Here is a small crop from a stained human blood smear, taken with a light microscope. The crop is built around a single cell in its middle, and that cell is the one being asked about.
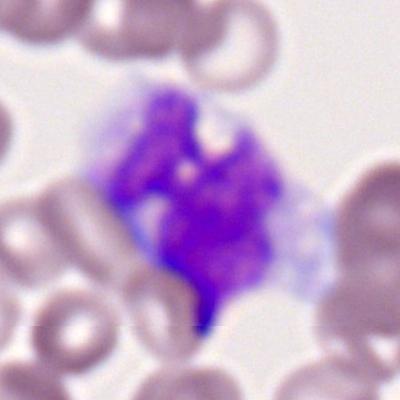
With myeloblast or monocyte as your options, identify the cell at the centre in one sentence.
At the middle of the frame sits a monocyte.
